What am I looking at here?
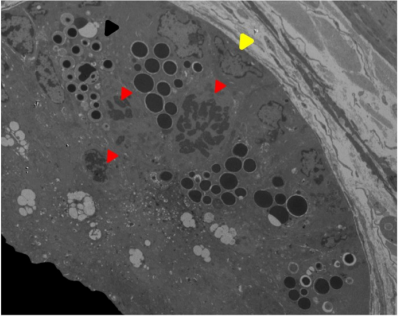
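This is a cross-section through a small intestinal crypt by electron microscopy, ringed by thin layers of connective tissue on the right. Many epithelial cells are packed with round secretory granules of varying size, most of them very dark and dense, some paler or with halos. Toward the centre, clumps of dark condensed chromatin mark cells caught in mitosis. A cell near the upper left, filled with dense granules, is a Paneth cell.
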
